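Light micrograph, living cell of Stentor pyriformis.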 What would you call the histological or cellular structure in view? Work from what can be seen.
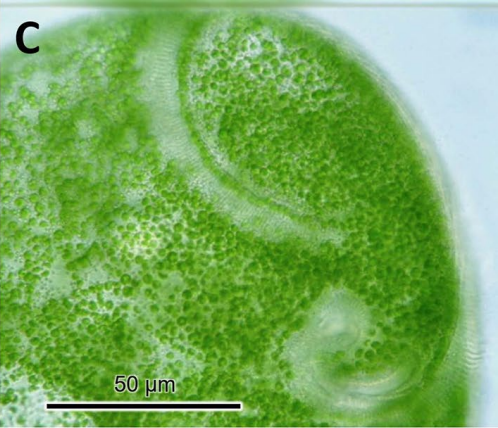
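A pale curved band sweeps in an arc across the green cell. A spiral swirl of pale striated ciliary rows lies at its lower end. On this evidence: Buccal cavity.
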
